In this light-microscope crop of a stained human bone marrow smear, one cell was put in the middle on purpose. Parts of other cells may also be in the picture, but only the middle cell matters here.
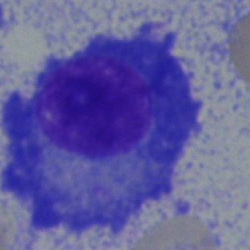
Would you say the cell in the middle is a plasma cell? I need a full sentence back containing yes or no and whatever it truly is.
Yes, this central cell is a plasma cell.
